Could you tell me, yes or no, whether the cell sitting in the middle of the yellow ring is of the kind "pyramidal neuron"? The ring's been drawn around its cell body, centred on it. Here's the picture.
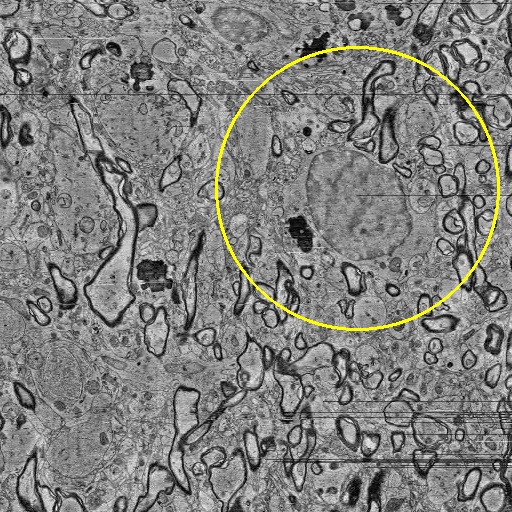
No, it is of another kind.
